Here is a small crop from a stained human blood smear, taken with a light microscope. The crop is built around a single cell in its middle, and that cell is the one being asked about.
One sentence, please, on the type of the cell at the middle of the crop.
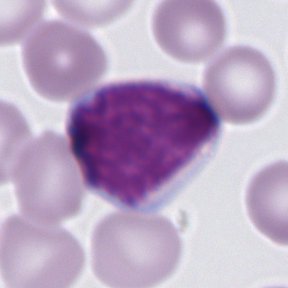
The cell the crop is centered on is a large granular lymphocyte.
